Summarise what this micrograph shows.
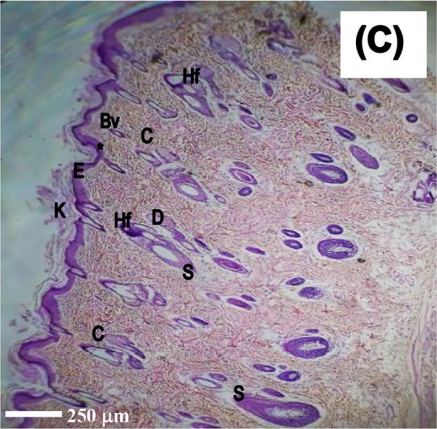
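Section of skin with a thin, purple-stained epidermis along one edge and a thick dermis beneath it. The dermis consists of pale pink, fairly evenly packed collagen fibers. Numerous hair follicles run obliquely and in parallel through the dermis, seen as elongated and oval purple profiles, some cut across as rings. The surface layer is continuous and the dermal tissue appears orderly, with few gaps or loose spaces between the fibers.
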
